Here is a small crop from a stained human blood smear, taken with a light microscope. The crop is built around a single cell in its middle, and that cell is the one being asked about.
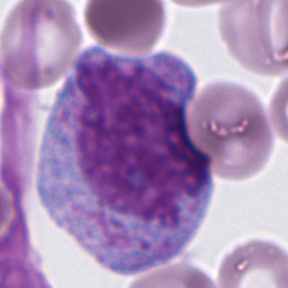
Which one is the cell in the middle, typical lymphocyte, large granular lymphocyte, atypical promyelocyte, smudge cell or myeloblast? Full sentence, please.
The middle position in this crop is taken by an atypical promyelocyte.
